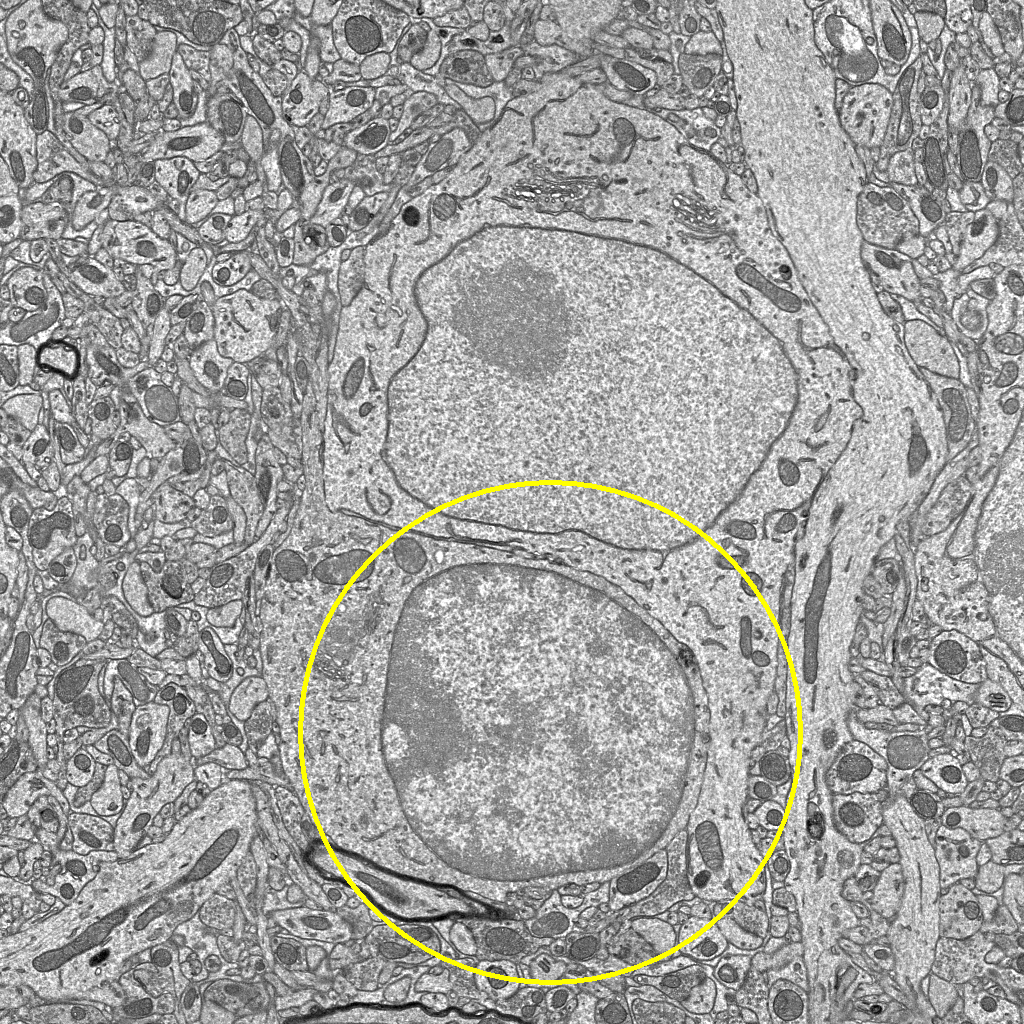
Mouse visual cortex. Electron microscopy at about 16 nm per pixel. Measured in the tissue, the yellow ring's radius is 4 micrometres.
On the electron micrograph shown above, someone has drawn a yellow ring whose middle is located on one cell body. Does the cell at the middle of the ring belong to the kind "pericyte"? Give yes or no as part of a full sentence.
No, the cell located at the middle of the ring in the micrograph is of a different kind.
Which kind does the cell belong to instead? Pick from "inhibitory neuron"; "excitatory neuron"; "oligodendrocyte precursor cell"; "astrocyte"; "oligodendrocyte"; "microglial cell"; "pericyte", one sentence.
Instead, the cell at the centre of the ring is an oligodendrocyte.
